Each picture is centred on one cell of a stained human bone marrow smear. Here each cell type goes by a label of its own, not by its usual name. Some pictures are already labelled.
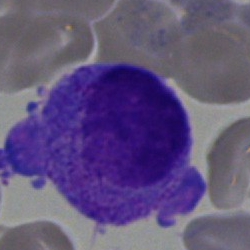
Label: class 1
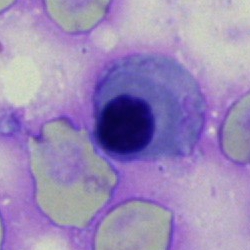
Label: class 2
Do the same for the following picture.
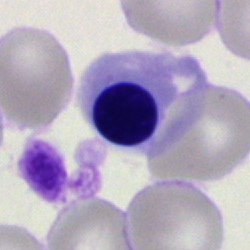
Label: class 2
